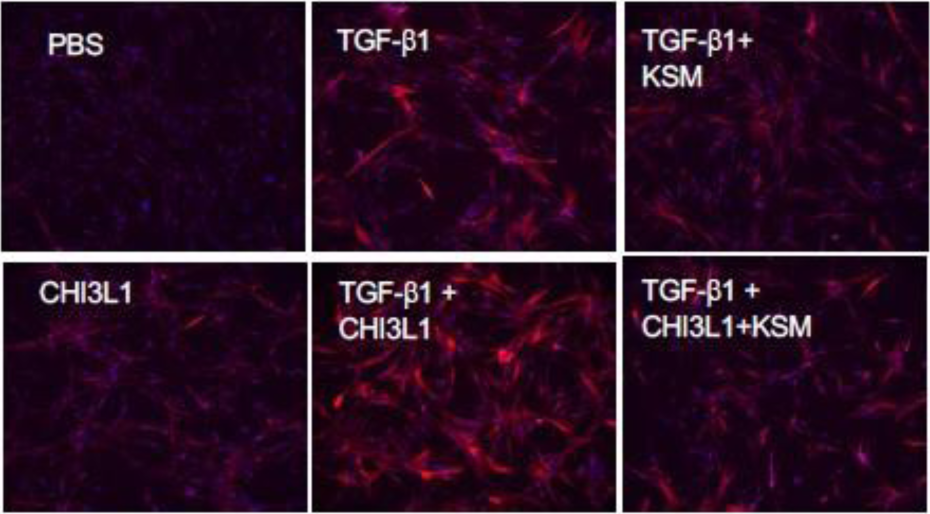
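The cells are elongated and spindle-shaped, often with long, thin, tapering extensions, and are spread loosely across the dish, in places lying roughly parallel to one another. Their bodies and extensions are outlined by red fluorescence, which varies between fields from faint and sparse to bright and dense, with fibre-like red streaks running along the length of the brighter cells. Small blue dots, the nuclei, are scattered among them. In the fields with the strongest red signal the cells are more numerous, broader and more crowded.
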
